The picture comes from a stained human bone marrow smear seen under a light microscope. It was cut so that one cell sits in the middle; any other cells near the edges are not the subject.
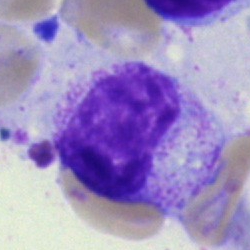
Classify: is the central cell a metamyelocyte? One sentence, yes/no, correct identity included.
Yes, the middle cell in this crop is a metamyelocyte.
